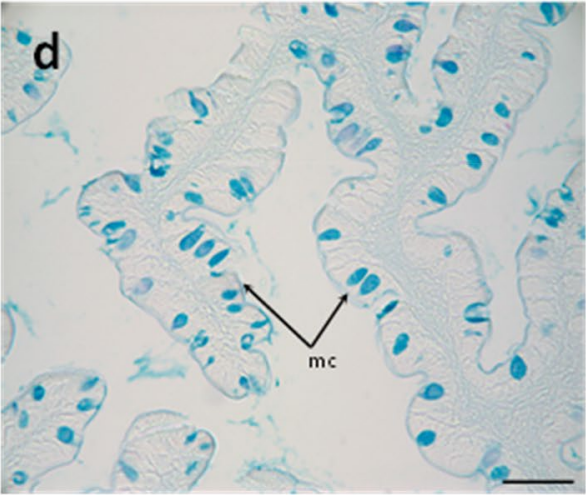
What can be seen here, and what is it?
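This section shows intestinal mucosal folds in which goblet cells stand out as turquoise-blue bodies within an otherwise pale epithelium. The surrounding columnar epithelial cells and the connective tissue core of the folds remain almost colourless. A thin bluish line traces the free surface of the epithelium facing the lumen.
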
